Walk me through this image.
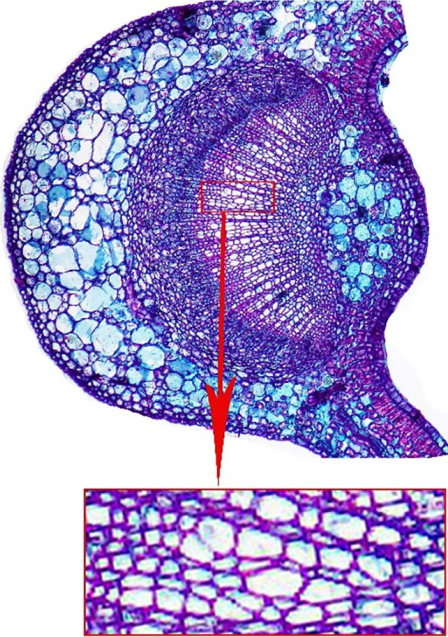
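Transverse section of a leaf vein with a central arc-shaped vascular bundle whose xylem consists of radial files of small, thick-walled, magenta-stained cells with empty lumens. The bundle is surrounded by a ring of smaller dark-stained cells and by large, thin-walled parenchyma cells, many with blue-stained contents, beneath a single-layered epidermis. The enlargement shows polygonal xylem cells with thick magenta walls in rows.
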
